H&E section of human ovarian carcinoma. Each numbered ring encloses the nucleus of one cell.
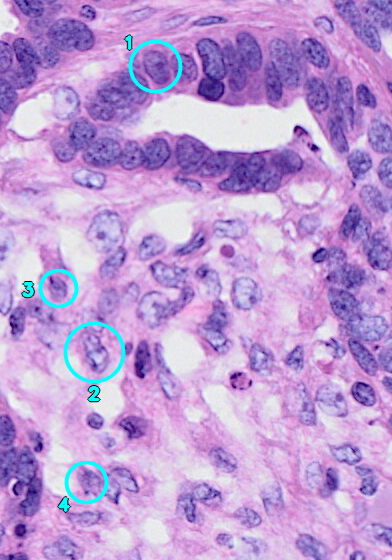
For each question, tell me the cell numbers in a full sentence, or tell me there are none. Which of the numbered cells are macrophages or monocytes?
Only the cell with the number 3 is a macrophage or monocyte.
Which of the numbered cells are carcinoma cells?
Unlike the other numbered cells, cell 1 is a carcinoma cell.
